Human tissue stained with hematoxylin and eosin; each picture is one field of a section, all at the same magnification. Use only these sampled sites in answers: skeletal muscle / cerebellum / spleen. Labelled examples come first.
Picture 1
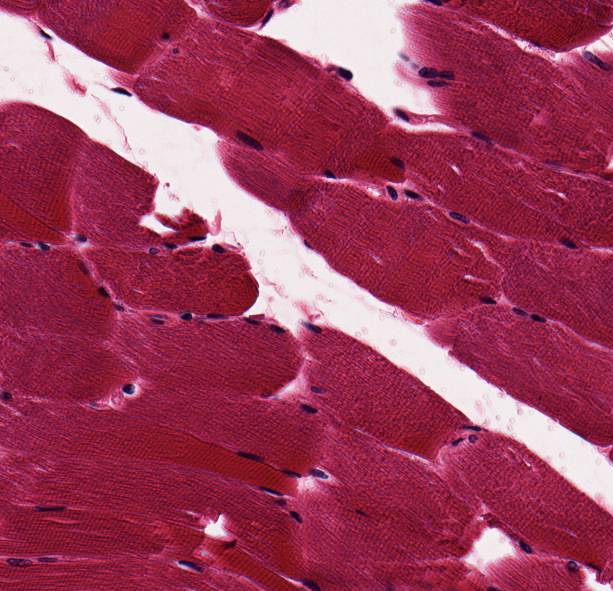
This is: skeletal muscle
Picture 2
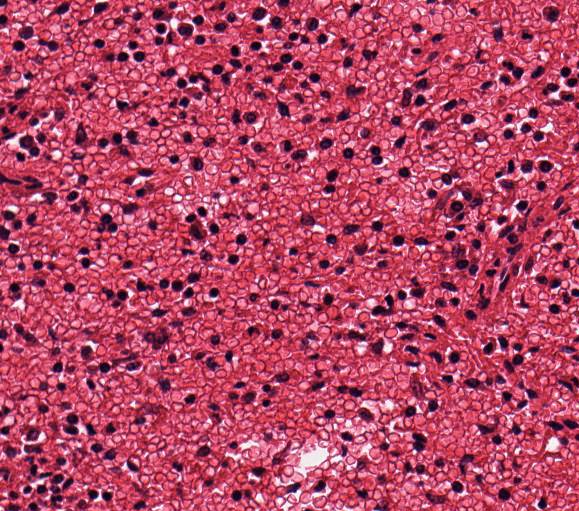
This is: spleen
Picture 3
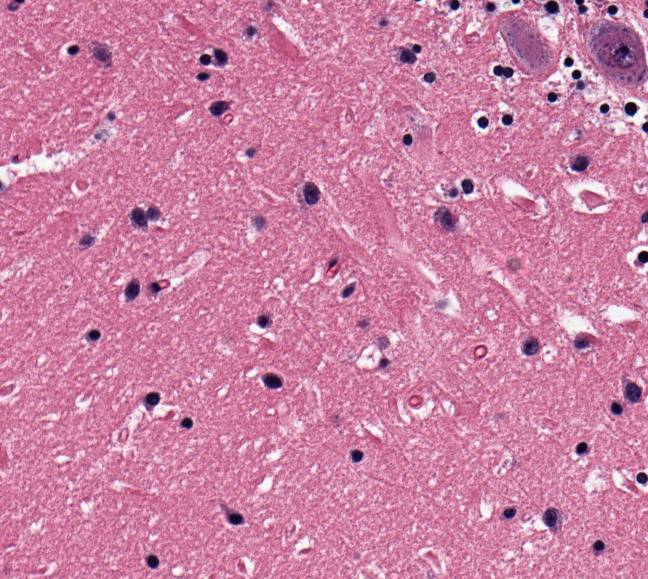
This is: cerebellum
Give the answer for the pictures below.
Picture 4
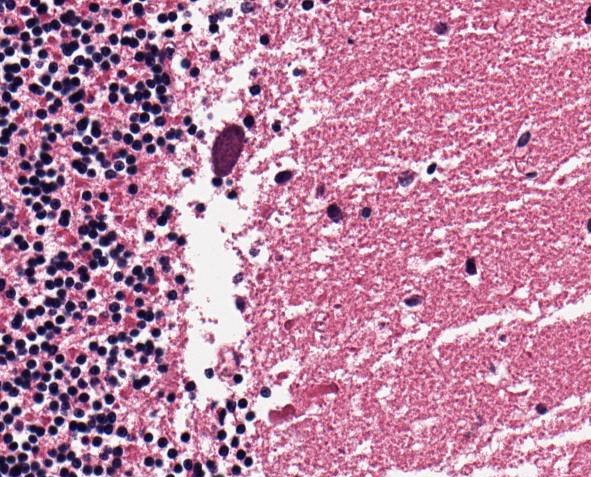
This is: cerebellum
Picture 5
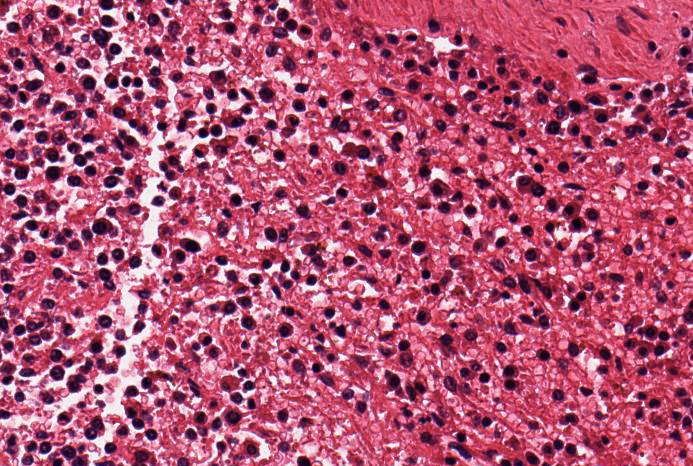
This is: spleen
